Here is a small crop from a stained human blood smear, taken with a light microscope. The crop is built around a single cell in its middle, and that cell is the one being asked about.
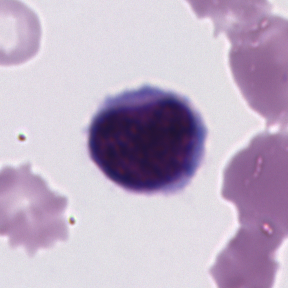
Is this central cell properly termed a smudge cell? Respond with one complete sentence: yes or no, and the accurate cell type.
No, in this crop the central cell is a hairy cell instead of a smudge cell.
